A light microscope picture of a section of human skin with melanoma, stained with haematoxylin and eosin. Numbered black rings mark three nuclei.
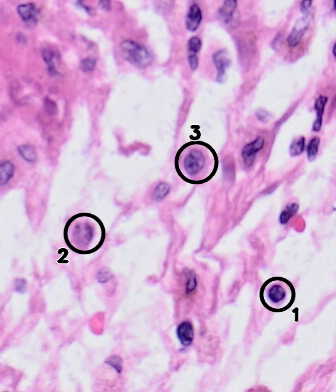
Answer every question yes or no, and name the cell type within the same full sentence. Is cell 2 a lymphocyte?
No, the cell indicated by 2 is a macrophage or monocyte instead of a lymphocyte.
